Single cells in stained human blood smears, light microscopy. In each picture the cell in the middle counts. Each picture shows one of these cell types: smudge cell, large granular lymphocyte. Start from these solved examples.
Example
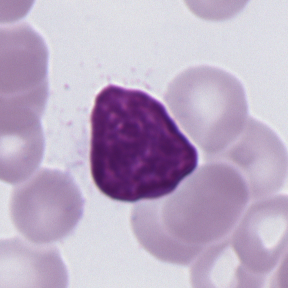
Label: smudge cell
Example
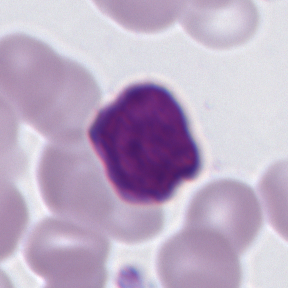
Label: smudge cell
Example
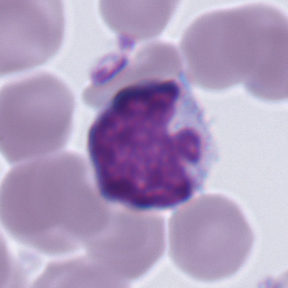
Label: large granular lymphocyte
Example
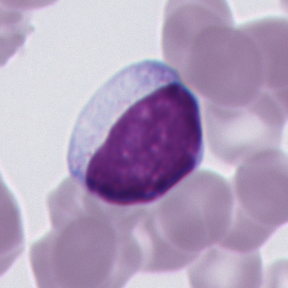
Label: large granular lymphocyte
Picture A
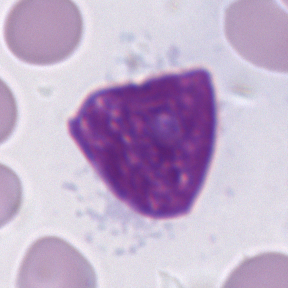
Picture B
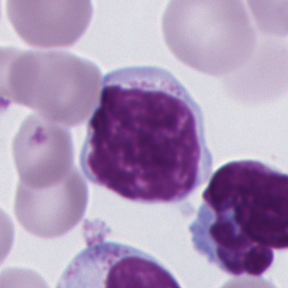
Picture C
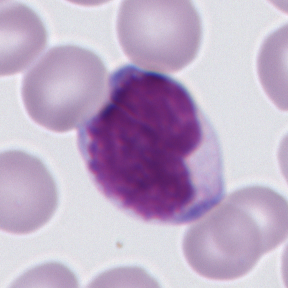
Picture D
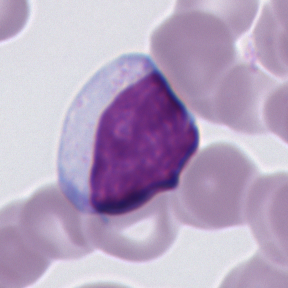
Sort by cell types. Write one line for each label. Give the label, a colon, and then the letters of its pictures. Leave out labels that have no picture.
smudge cell: A
large granular lymphocyte: B, C, D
